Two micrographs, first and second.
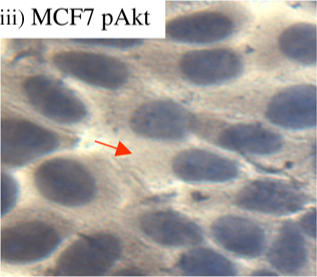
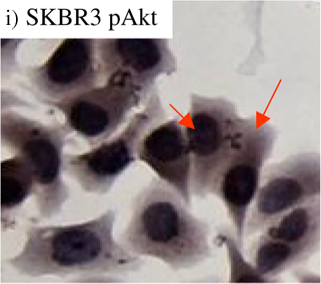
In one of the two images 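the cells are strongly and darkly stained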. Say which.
The second image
